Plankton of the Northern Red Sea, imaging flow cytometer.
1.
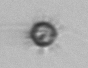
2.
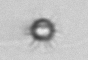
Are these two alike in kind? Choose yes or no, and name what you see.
Yes. Rhabdosphaera.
